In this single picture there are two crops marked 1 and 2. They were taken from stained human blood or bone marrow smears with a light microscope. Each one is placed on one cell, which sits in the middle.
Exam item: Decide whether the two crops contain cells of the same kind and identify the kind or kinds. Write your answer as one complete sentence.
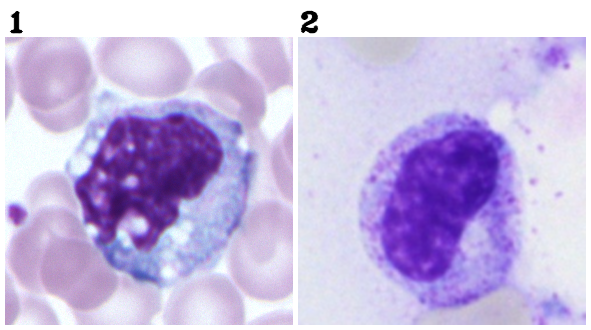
No, crop 1 contains a monocyte, whereas crop 2 contains a metamyelocyte.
